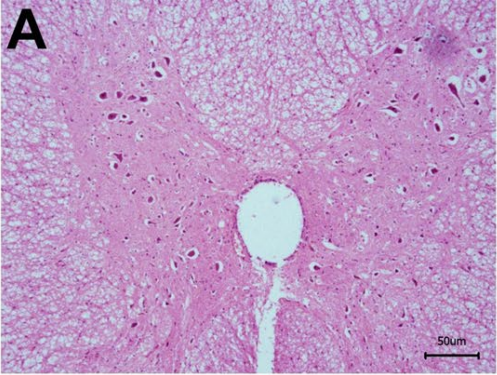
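Spinal cord grey matter around the central canal, stained pink with purple nuclei. The canal is a round open lumen in the midline lined by a thin continuous layer of small dark-nucleated ependymal cells, with the median fissure running below it. Scattered larger neuron cell bodies lie in the surrounding grey matter, with pale vacuolated white matter columns above and below.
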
